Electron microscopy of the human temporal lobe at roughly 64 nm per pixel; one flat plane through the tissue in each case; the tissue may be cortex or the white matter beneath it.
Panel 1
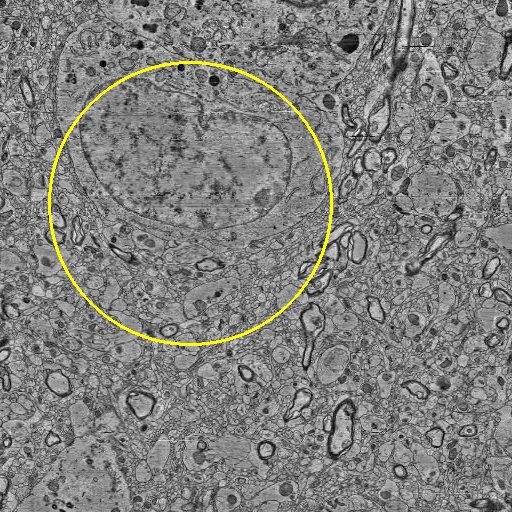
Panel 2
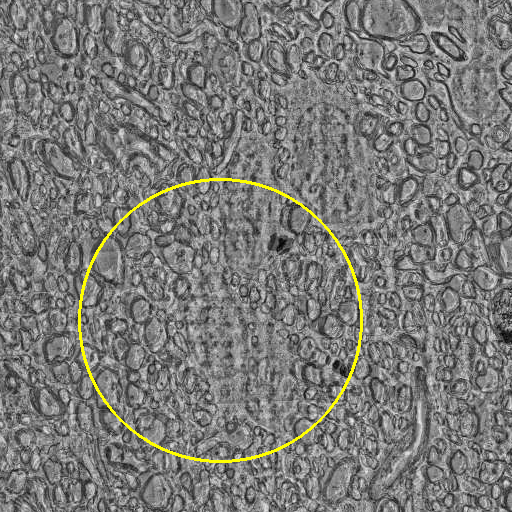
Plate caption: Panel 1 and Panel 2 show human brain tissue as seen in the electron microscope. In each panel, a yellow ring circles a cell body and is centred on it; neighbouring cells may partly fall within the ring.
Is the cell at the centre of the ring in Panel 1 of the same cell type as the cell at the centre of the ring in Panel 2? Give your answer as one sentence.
No, the two cells are of two types.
